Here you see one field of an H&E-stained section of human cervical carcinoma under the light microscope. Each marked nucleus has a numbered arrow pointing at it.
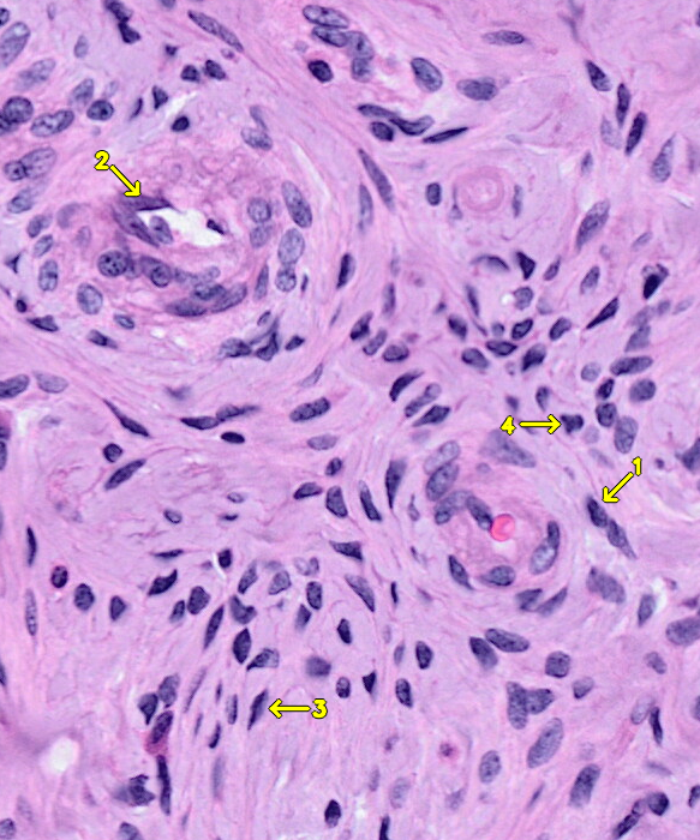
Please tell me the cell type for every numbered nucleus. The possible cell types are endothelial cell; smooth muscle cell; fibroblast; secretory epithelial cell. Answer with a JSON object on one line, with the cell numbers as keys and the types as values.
{"1": "fibroblast", "2": "endothelial cell", "3": "fibroblast", "4": "fibroblast"}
